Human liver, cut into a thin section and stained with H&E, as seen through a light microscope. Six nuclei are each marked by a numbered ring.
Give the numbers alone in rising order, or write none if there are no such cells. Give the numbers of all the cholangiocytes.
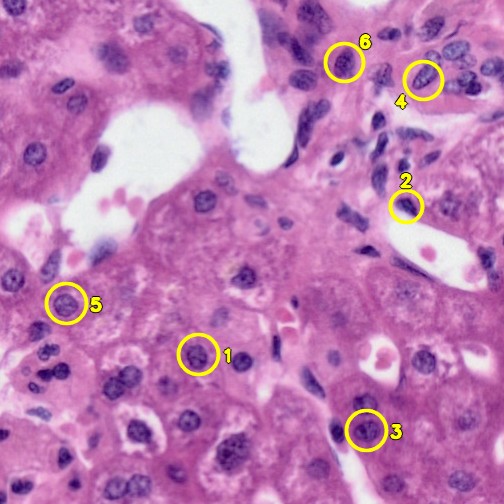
4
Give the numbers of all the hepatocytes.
1, 3, 5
